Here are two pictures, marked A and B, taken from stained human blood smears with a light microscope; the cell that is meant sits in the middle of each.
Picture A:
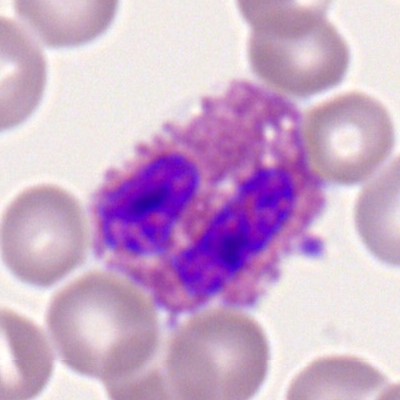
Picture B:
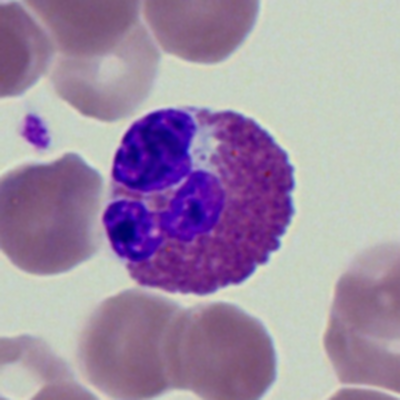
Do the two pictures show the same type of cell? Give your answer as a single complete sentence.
Yes, both cells are eosinophils.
